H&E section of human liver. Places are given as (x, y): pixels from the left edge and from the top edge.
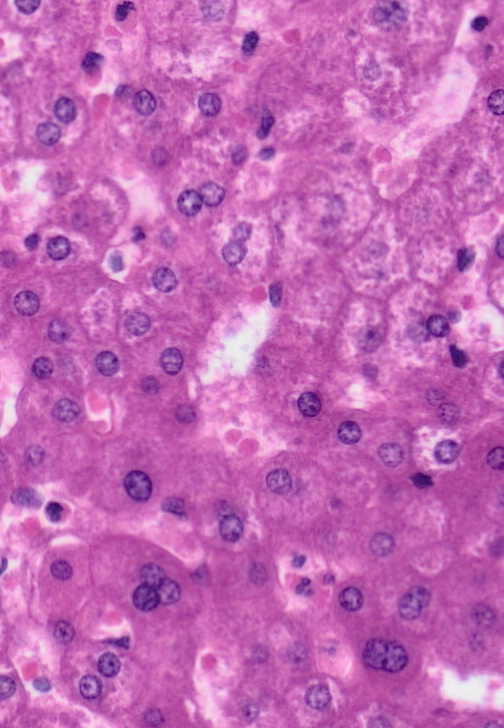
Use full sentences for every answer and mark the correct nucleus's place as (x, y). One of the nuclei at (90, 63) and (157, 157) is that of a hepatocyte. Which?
Of the two nuclei, the one sitting at (157, 157) belongs to a hepatocyte.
